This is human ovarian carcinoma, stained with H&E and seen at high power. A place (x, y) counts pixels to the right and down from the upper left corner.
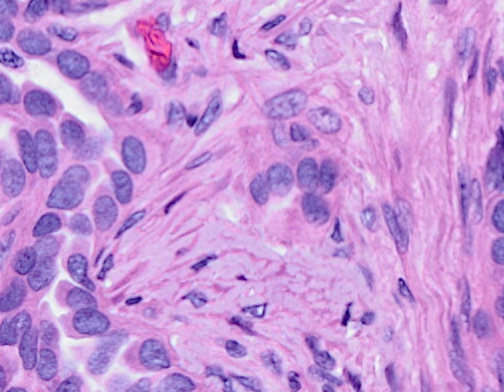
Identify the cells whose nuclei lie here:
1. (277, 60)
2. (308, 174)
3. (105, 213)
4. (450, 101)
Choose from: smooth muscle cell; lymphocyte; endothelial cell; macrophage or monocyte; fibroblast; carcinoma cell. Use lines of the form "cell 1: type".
cell 1: fibroblast
cell 2: carcinoma cell
cell 3: carcinoma cell
cell 4: fibroblast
